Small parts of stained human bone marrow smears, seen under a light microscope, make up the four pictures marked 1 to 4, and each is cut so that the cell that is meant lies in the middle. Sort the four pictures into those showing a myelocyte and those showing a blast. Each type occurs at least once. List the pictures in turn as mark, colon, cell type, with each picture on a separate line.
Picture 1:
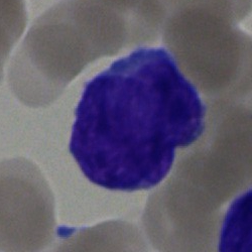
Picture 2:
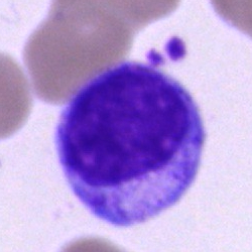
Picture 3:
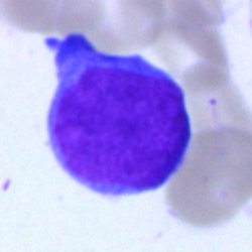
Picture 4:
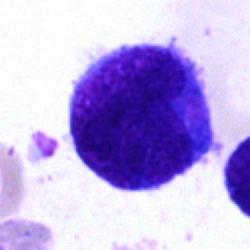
1: blast
2: myelocyte
3: blast
4: blast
